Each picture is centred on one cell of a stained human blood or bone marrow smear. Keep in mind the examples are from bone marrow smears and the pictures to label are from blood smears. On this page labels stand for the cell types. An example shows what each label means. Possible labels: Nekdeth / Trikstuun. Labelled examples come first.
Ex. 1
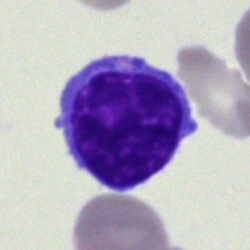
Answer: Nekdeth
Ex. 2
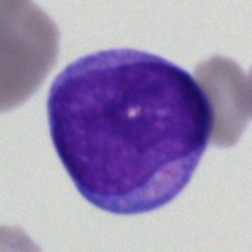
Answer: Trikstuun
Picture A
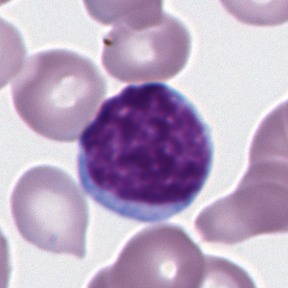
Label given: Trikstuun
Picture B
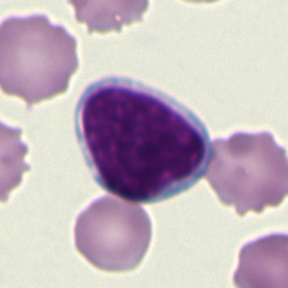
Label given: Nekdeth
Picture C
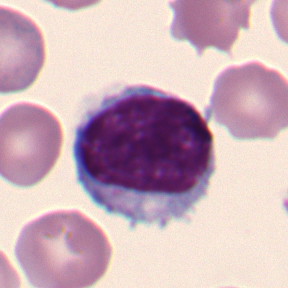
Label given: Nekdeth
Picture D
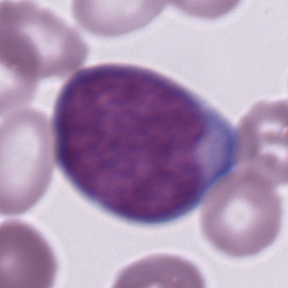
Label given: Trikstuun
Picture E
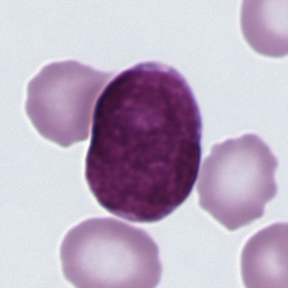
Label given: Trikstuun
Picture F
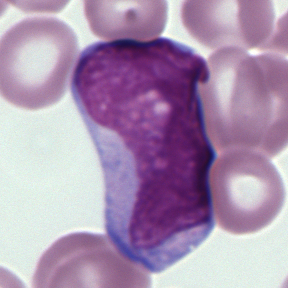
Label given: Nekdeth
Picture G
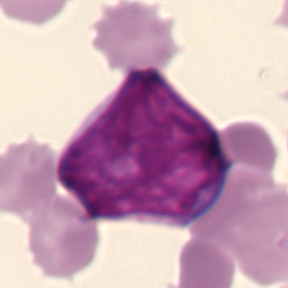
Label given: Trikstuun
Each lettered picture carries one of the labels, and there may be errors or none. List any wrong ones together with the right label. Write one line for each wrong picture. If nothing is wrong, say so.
F: not Nekdeth but Trikstuun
